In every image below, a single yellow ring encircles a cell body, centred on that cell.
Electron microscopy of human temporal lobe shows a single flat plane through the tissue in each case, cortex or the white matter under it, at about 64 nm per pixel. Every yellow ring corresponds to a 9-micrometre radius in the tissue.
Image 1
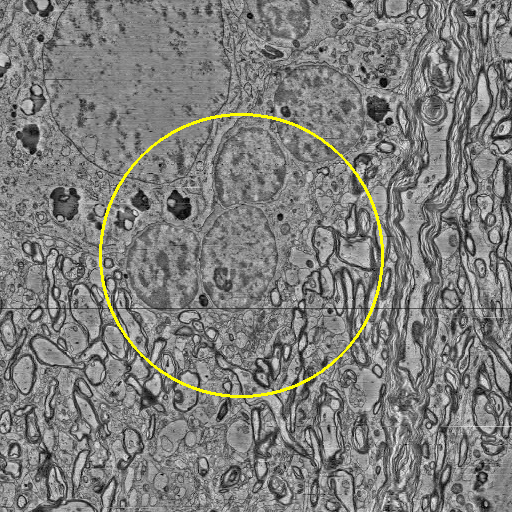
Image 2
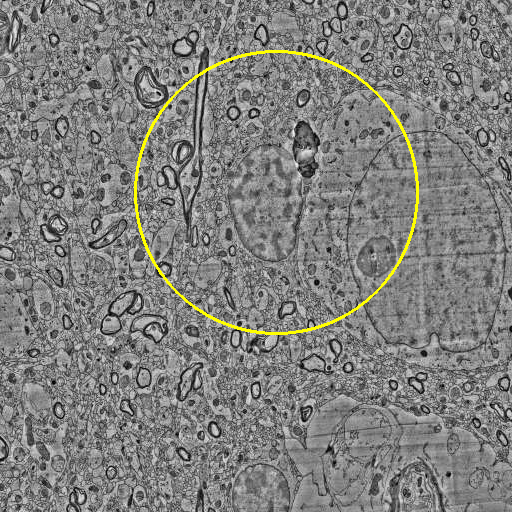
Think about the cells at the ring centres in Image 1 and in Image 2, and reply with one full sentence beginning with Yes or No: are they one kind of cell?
Yes, the cells centred in the rings of Image 1 and Image 2 are one kind of cell.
